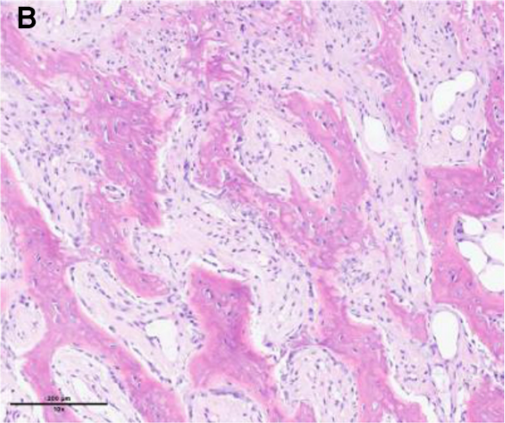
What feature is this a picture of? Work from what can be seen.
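Irregular pink trabeculae of matrix with many cells trapped in lacunae. Loose spindle-cell stroma between the trabeculae. Trabeculae are branching and unevenly shaped.
Answer: immature bone islands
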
